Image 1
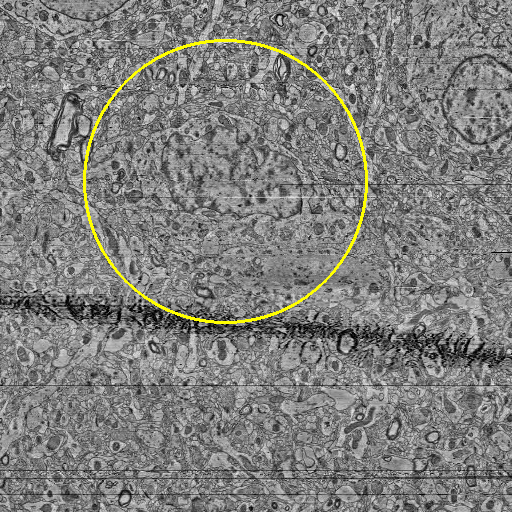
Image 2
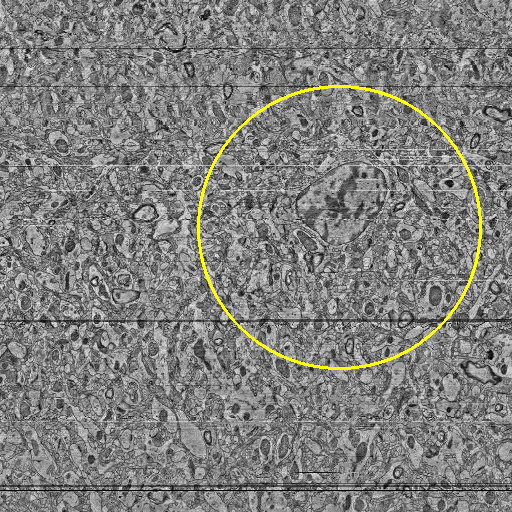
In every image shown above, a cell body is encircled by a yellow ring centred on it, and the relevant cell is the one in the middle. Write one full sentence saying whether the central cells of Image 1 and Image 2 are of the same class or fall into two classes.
The cell at the ring's centre in Image 1 and its counterpart in Image 2 fall into two classes.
